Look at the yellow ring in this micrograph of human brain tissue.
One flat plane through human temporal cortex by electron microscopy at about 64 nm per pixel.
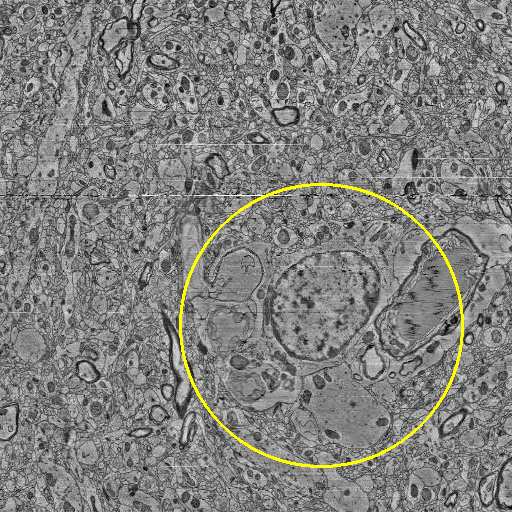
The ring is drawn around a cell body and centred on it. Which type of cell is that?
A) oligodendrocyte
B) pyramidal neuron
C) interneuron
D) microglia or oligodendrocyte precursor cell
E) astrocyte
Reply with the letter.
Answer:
D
